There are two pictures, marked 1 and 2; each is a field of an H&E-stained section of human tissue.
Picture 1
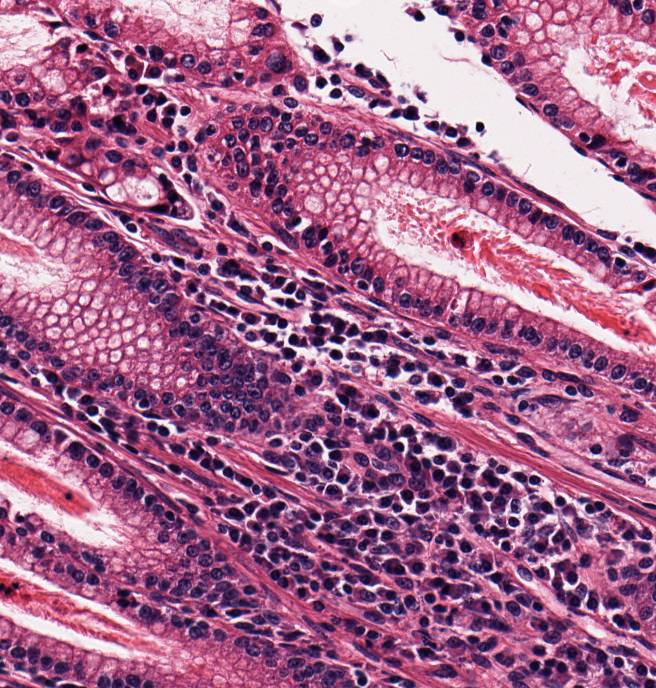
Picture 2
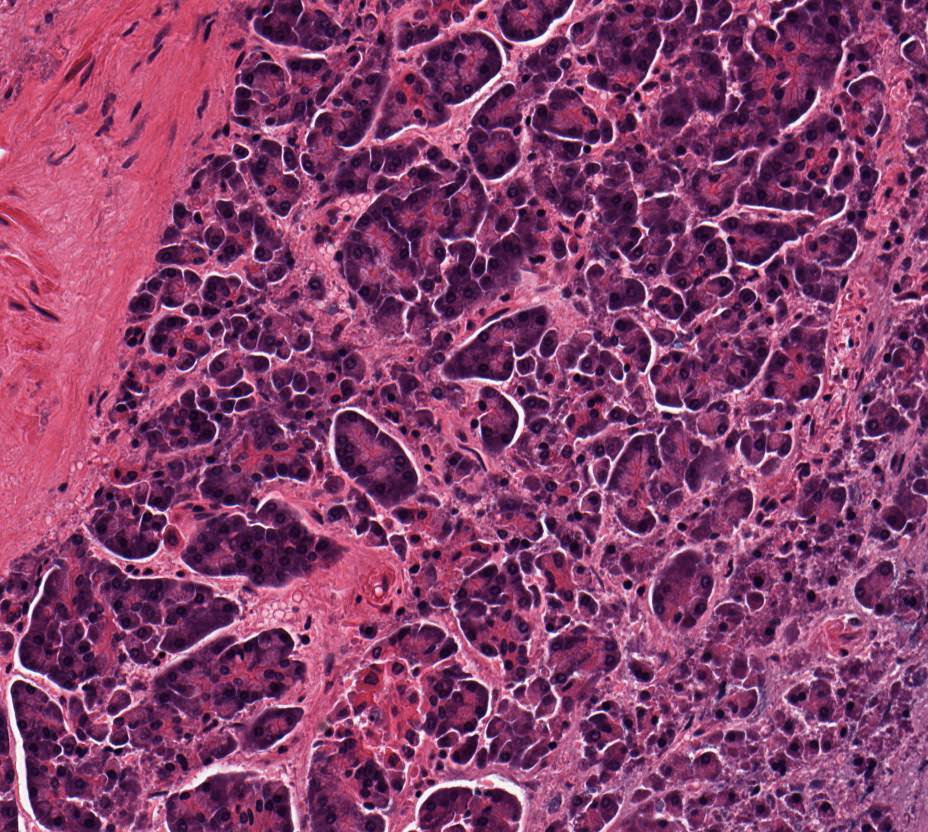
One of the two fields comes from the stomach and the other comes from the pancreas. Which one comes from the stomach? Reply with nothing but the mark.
1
